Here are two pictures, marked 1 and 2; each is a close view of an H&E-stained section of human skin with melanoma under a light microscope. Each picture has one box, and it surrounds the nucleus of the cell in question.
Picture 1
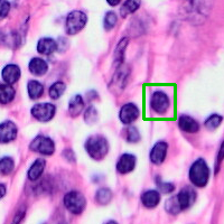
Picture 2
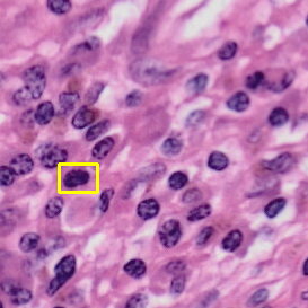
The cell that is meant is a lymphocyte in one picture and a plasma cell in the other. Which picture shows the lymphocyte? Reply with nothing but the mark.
1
